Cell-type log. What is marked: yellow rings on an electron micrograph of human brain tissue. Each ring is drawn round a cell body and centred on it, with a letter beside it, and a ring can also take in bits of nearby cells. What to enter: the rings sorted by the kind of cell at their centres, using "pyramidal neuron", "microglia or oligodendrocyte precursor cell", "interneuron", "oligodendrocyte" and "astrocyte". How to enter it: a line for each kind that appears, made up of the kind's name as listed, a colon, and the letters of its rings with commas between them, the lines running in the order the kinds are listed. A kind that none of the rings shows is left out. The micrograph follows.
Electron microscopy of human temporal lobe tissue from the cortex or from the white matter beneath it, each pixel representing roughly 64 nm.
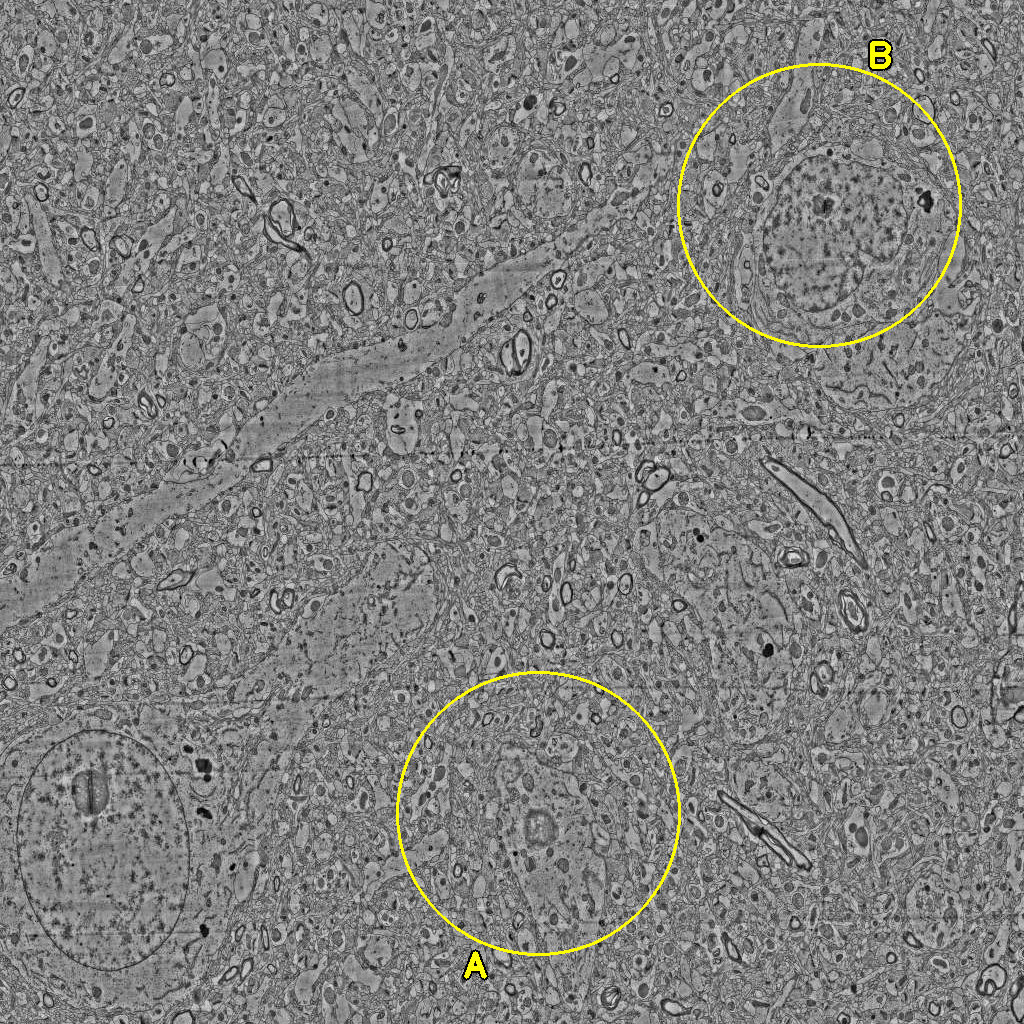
pyramidal neuron: A
interneuron: B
